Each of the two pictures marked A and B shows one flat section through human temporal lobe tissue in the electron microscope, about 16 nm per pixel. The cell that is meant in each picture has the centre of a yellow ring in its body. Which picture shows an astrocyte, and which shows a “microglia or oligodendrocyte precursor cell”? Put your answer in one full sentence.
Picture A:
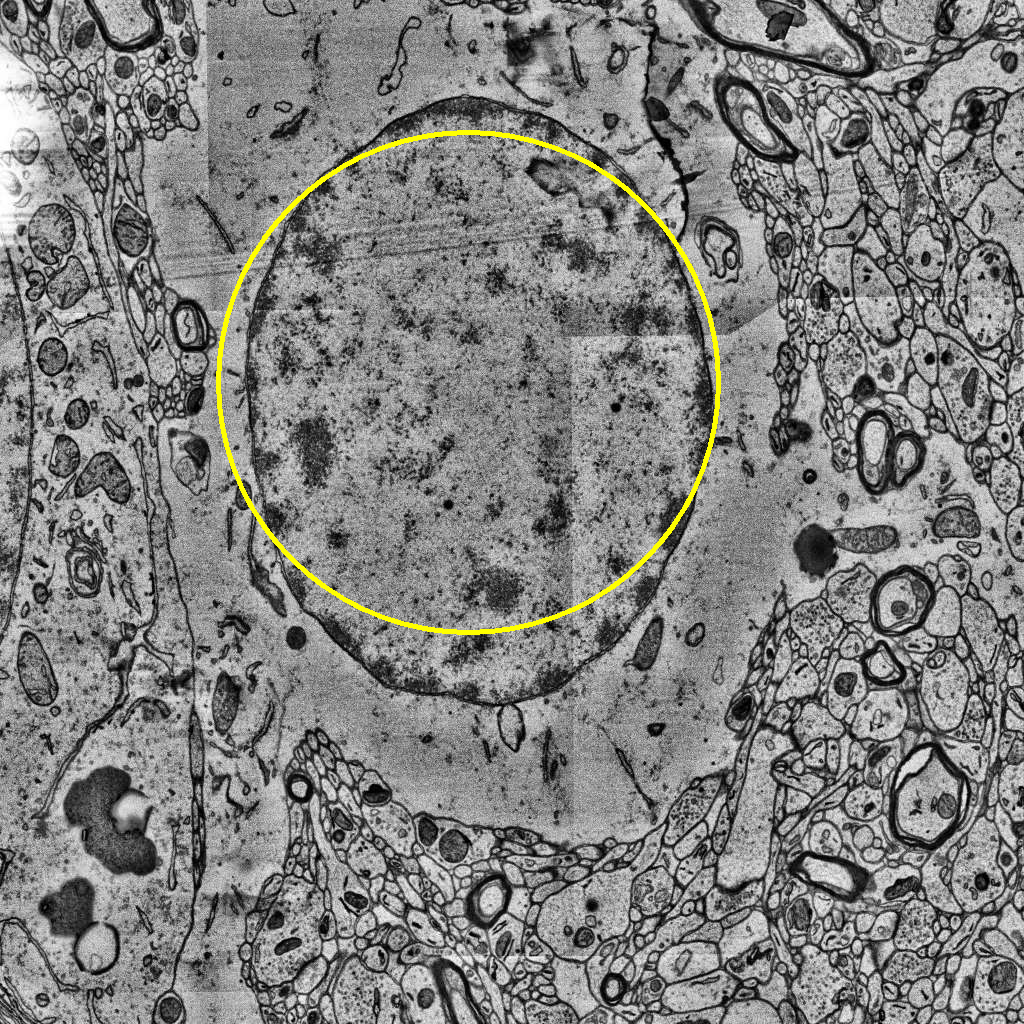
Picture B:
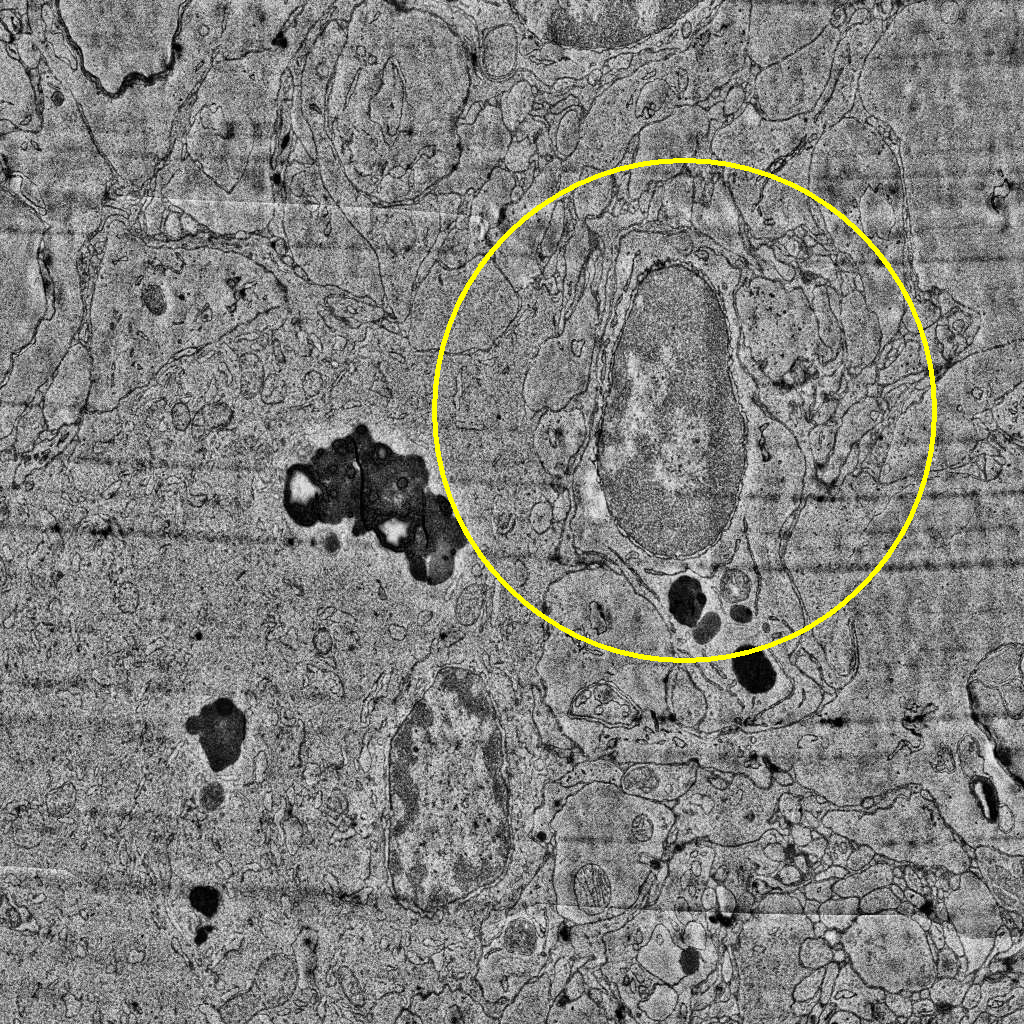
It is picture A that shows an astrocyte, and picture B that shows a “microglia or oligodendrocyte precursor cell”.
